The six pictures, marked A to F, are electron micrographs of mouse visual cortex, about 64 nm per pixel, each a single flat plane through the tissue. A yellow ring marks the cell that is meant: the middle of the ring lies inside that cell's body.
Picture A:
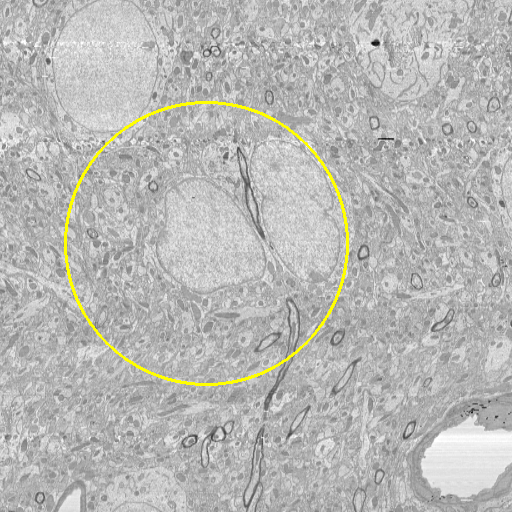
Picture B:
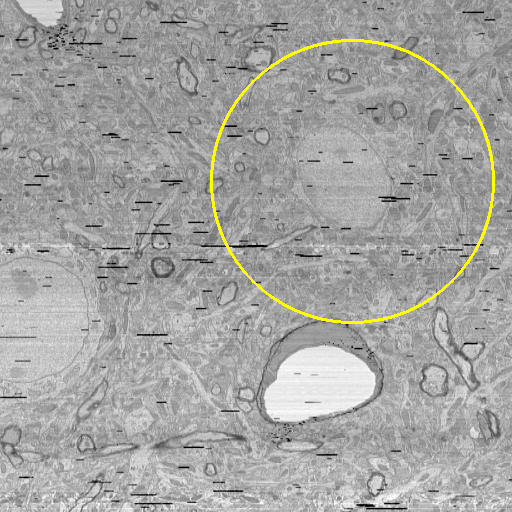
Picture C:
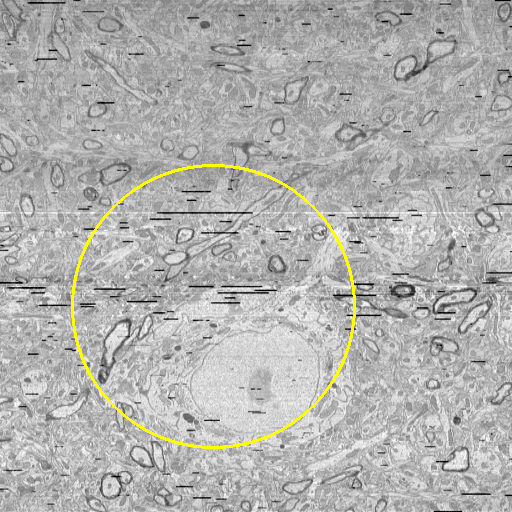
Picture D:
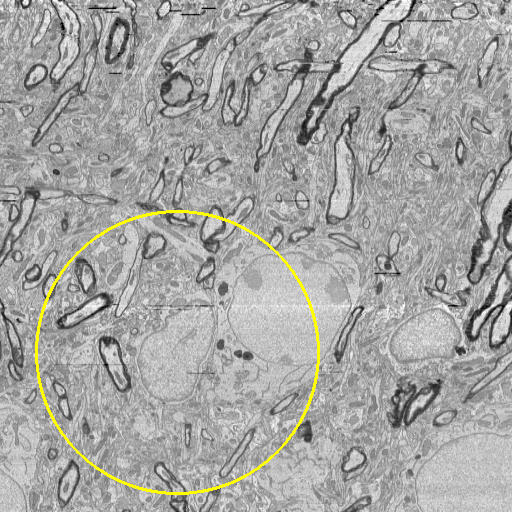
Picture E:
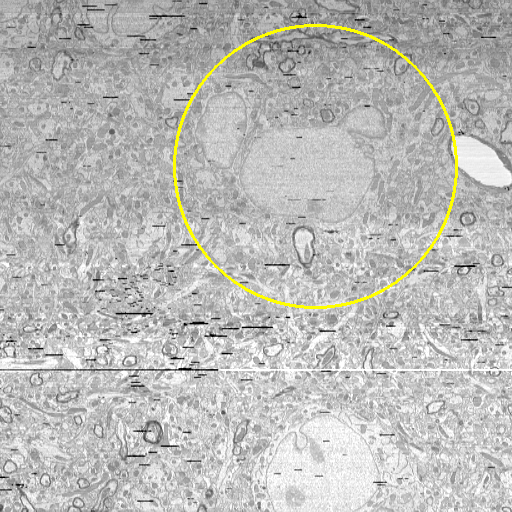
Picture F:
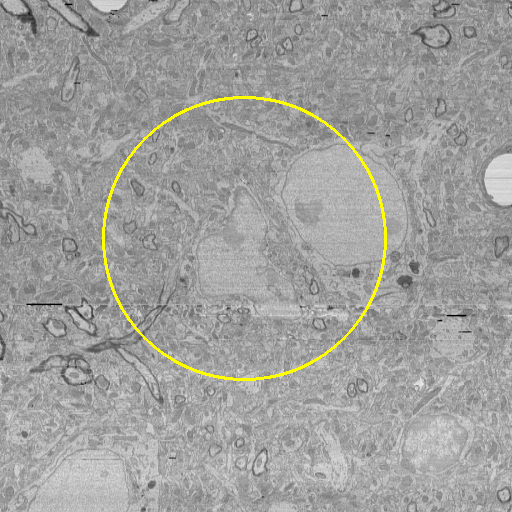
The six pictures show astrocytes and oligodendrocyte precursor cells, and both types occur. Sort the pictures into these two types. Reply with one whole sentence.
Pictures A, B and E show astrocytes, and pictures C, D and F show oligodendrocyte precursor cells.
